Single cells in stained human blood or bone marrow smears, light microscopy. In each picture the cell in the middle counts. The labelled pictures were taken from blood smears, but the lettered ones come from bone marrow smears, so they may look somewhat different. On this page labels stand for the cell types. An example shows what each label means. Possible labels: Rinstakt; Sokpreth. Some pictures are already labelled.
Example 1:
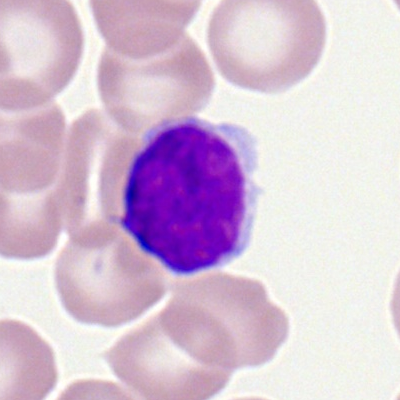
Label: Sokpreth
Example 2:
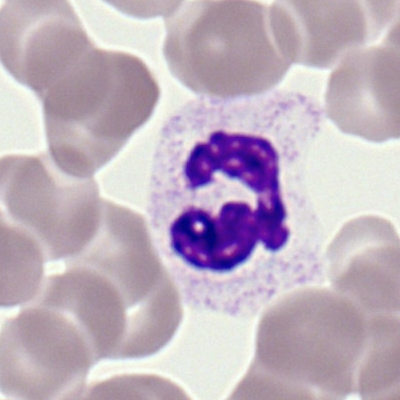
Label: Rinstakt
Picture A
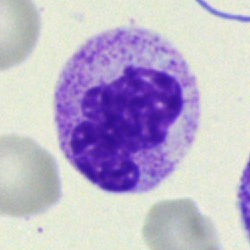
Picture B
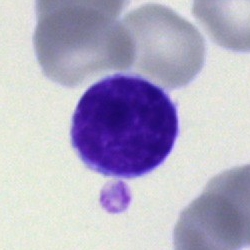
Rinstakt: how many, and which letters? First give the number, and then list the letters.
1, namely A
